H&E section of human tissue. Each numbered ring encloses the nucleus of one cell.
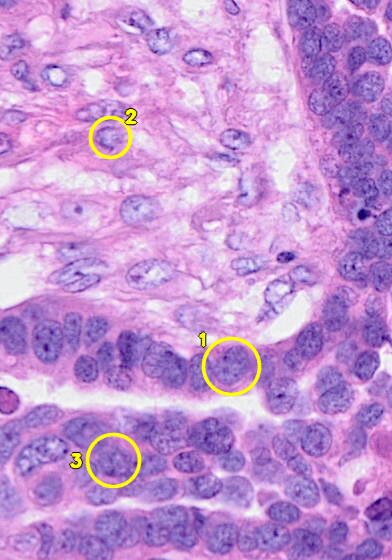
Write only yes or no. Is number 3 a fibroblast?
no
